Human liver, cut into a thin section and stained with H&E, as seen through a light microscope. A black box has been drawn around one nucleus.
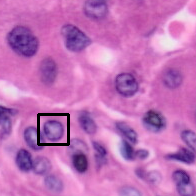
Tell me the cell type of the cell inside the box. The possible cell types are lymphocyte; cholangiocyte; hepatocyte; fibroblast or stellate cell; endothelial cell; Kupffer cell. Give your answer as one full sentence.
By cell type, the cell inside the box is a cholangiocyte.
